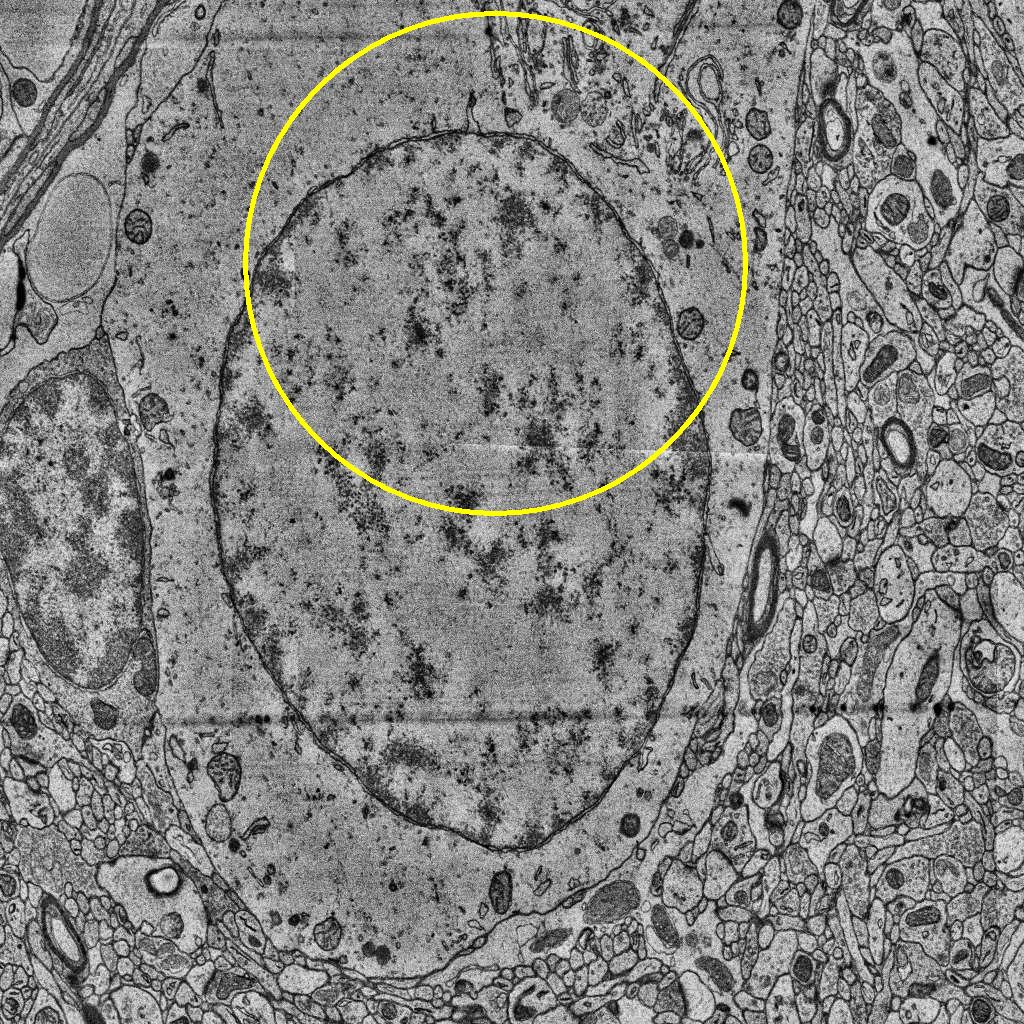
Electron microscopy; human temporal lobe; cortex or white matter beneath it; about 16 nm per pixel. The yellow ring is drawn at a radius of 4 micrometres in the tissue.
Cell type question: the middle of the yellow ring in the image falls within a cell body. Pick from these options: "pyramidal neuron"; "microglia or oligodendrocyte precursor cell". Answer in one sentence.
The cell body at the center of the ring belongs to a pyramidal neuron.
